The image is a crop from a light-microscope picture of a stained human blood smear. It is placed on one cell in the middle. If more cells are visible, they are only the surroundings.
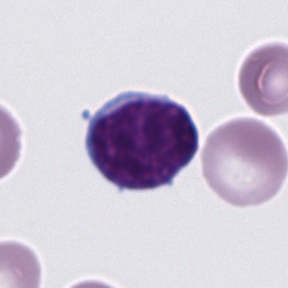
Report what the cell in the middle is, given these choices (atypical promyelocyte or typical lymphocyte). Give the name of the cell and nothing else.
typical lymphocyte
